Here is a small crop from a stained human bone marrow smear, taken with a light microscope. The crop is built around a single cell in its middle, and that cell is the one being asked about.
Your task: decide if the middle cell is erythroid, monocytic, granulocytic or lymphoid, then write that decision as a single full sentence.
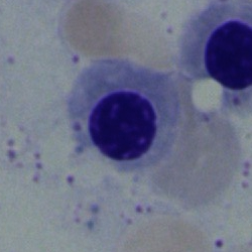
The cell at the crop's center is part of the erythroid lineage.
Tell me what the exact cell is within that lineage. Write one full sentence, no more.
The cell marked by its central position in the crop is an erythroblast.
